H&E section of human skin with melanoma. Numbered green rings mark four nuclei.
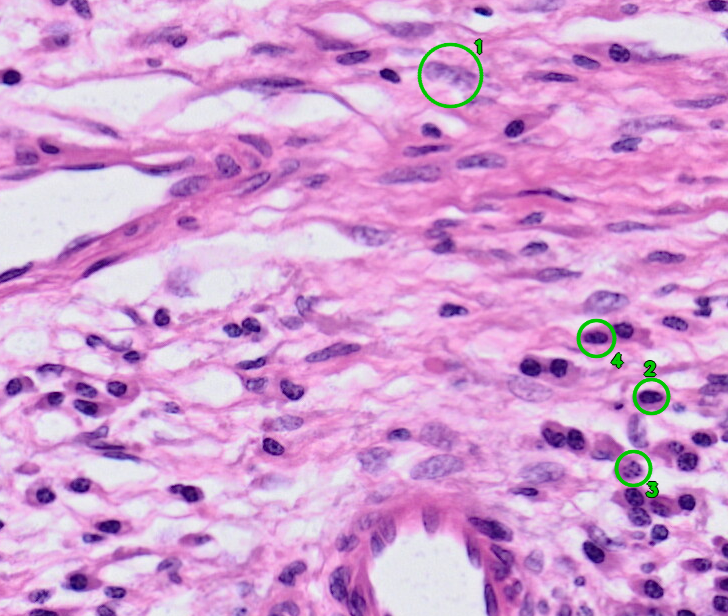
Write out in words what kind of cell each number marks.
Cell 1 is a fibroblast or myofibroblast. Cells 2, 3 and 4 are plasma cells.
